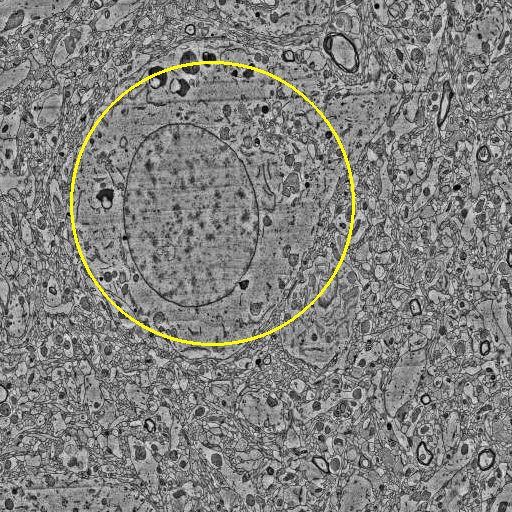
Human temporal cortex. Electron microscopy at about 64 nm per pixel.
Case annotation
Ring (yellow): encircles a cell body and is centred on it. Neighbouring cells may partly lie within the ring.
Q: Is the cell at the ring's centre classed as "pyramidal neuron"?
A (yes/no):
yes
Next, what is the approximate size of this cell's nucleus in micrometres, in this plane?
Roughly 12 by 9 micrometres in this plane, for the nucleus of the ringed cell.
